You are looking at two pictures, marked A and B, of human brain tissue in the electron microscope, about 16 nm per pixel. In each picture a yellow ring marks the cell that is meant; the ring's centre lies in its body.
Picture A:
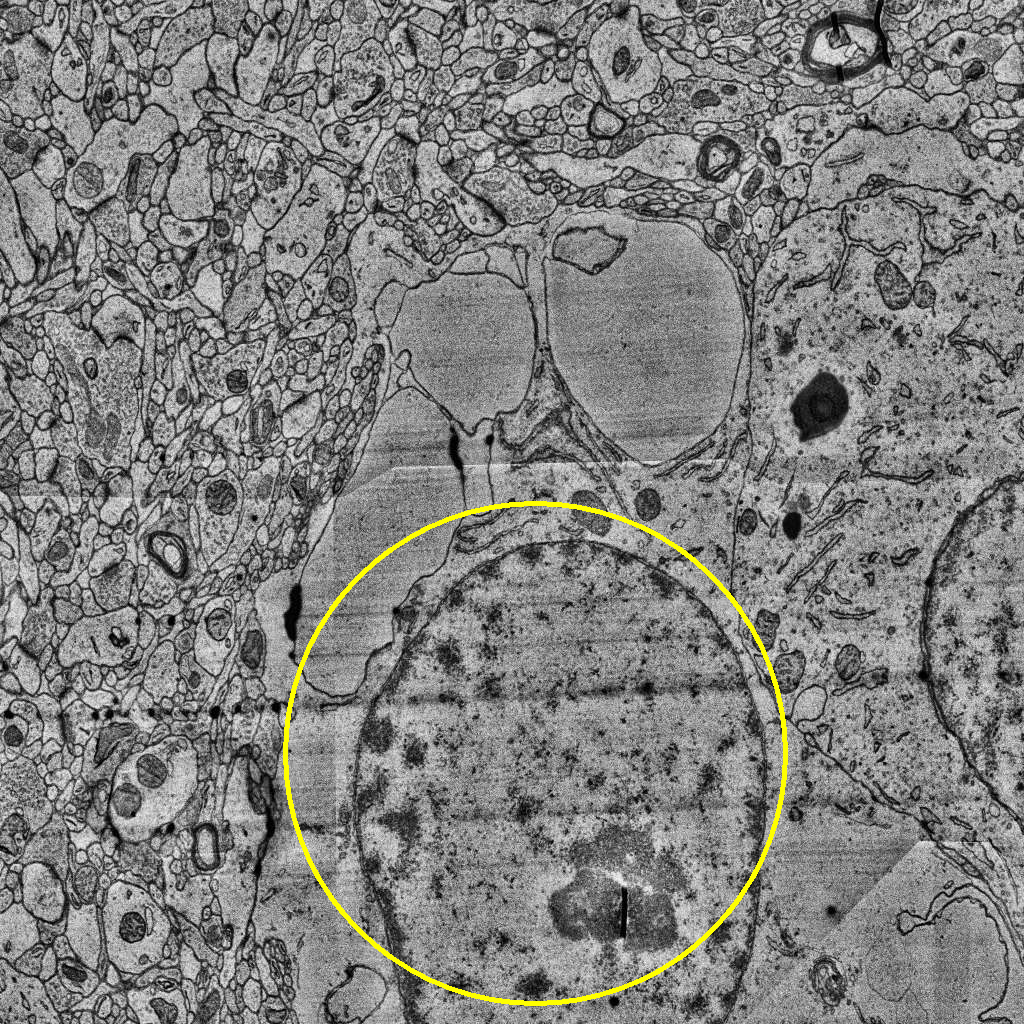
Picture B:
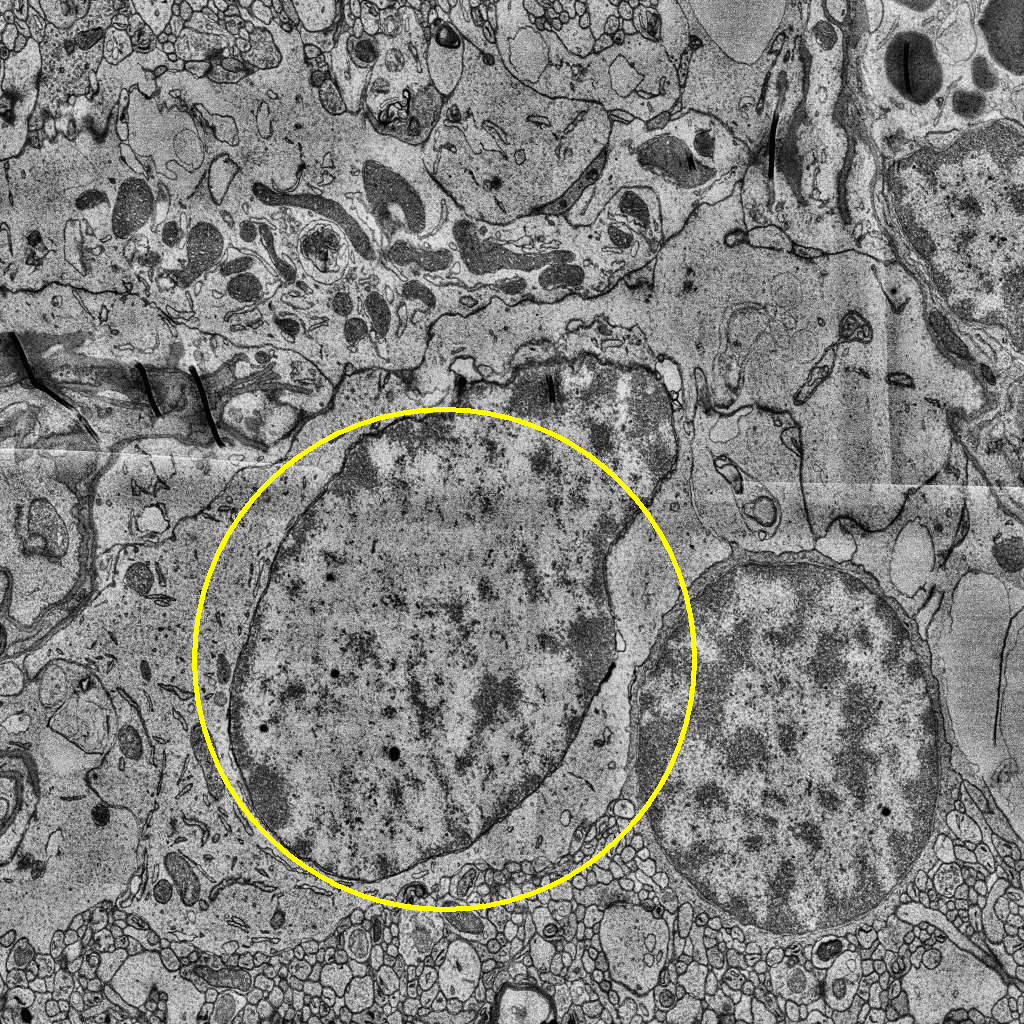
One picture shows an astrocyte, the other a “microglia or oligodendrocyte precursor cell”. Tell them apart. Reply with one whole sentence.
Picture A is of an astrocyte, and picture B is of a “microglia or oligodendrocyte precursor cell”.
